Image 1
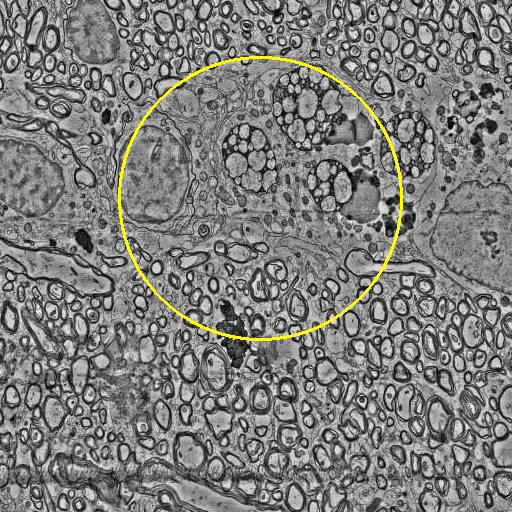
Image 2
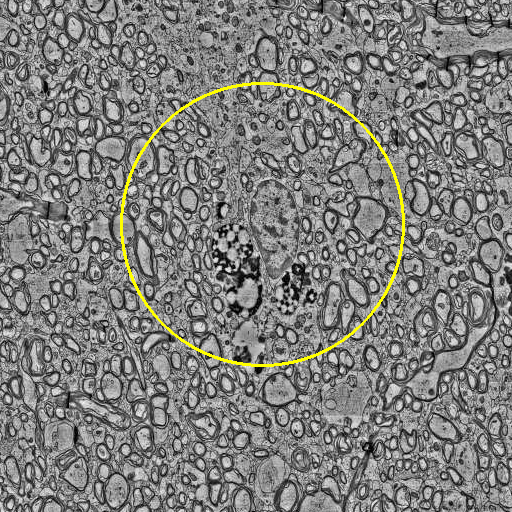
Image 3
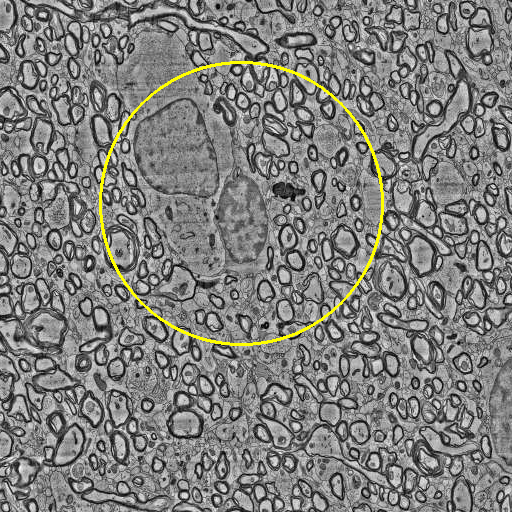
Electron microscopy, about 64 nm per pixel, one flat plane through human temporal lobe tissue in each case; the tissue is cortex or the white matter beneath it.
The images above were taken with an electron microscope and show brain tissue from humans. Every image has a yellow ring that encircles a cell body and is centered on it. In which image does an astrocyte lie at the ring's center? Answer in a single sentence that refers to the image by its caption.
In Image 1, the cell at the center of the yellow ring is the correct match.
